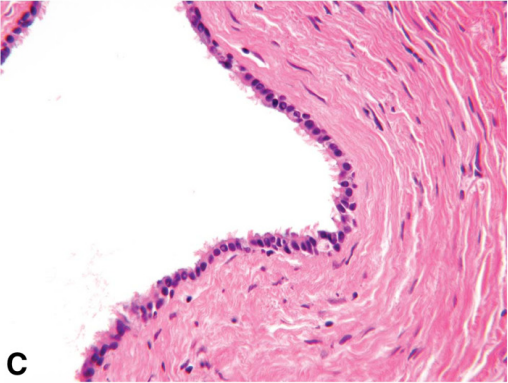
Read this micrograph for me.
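The innermost lining of a cyst wall is a single layer of small cuboidal to low columnar epithelial cells with round, dark purple nuclei and scant pink cytoplasm. In places the lining appears thin or interrupted. Beneath it lies dense, pale pink, wavy collagenous tissue with sparse elongated, spindle-shaped fibroblast nuclei arranged parallel to the surface, forming the fibrous wall. The lumen on the left is empty. No inflammatory cells are conspicuous in the wall.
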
